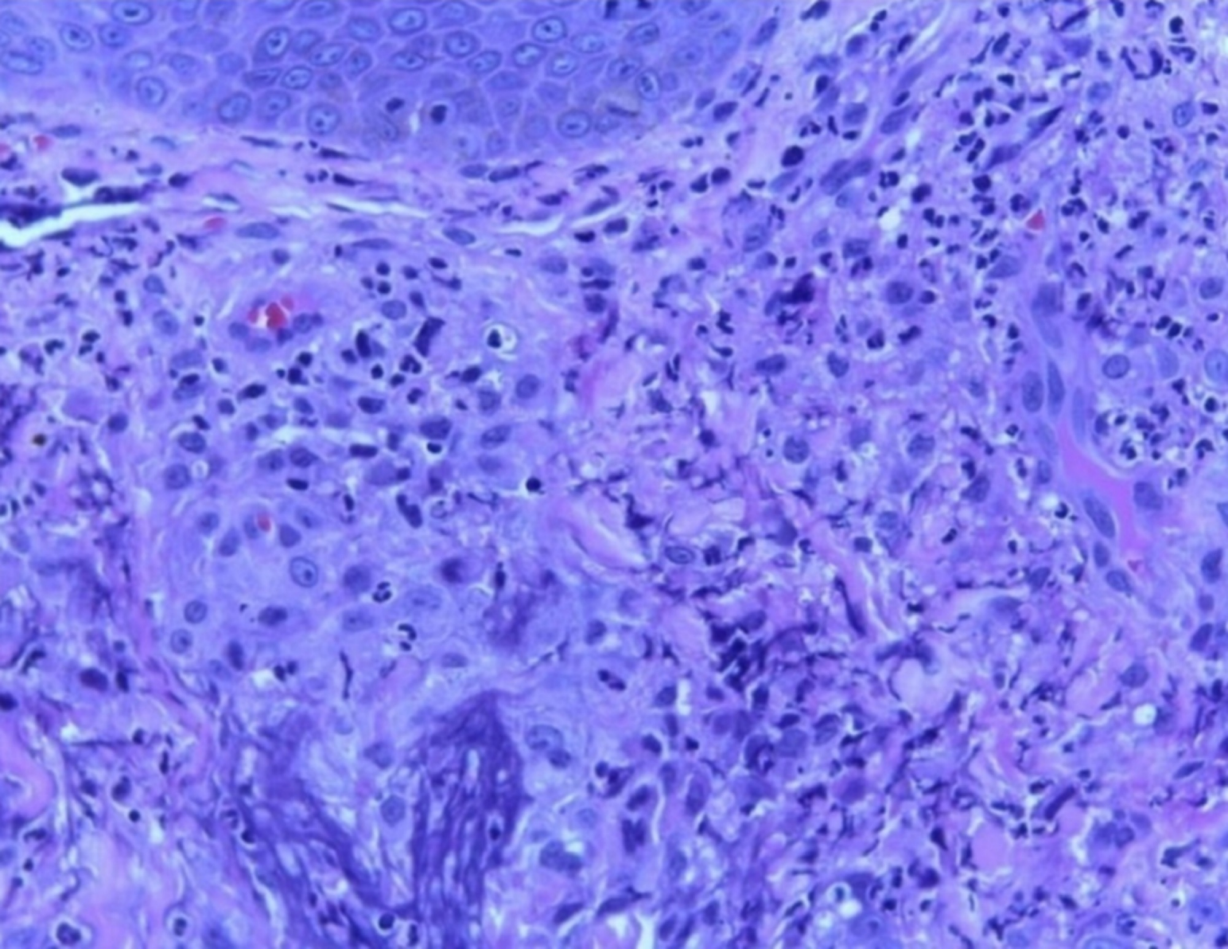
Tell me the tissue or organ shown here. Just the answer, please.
dermis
